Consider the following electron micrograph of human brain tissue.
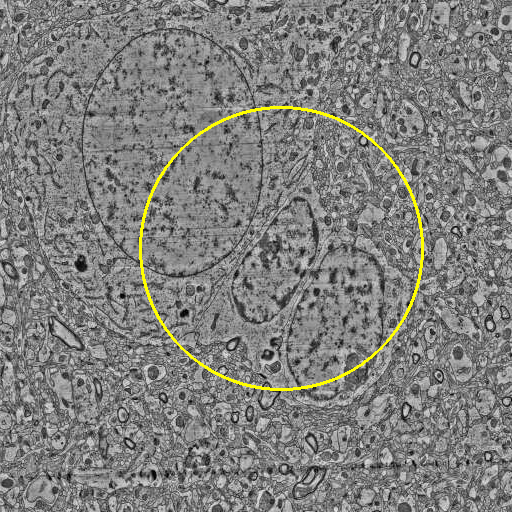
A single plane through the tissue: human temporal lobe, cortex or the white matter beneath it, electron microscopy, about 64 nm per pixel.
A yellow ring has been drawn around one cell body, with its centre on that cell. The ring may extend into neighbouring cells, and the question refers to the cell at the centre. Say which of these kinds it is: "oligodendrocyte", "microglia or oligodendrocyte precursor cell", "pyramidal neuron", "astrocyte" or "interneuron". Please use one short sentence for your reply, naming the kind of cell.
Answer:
The centre of the ring falls on a microglial cell or oligodendrocyte precursor cell.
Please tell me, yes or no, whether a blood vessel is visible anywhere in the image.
No, there is none.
